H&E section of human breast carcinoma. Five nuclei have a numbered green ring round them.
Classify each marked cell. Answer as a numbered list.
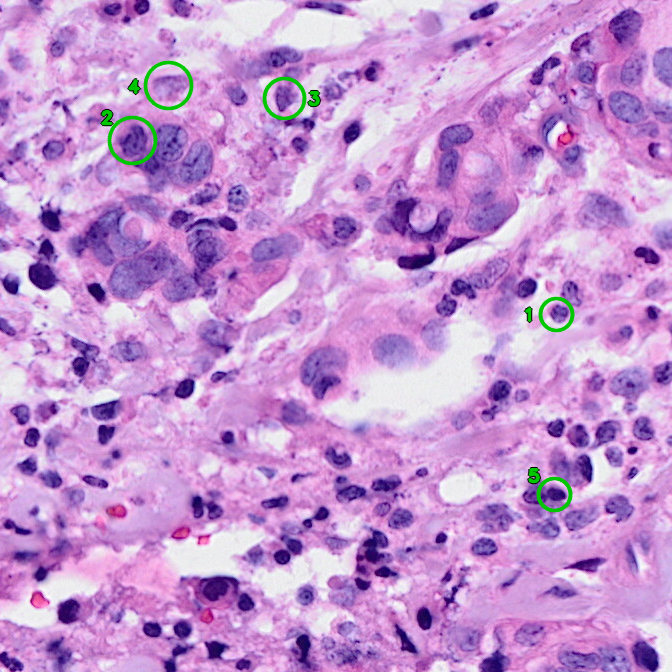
1. lymphocyte
2. carcinoma cell
3. macrophage, monocyte or dendritic cell
4. fibroblast
5. lymphocyte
